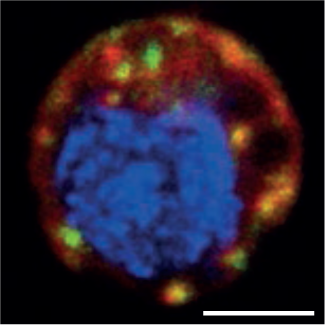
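A single rounded cell is seen with a large blue nucleus occupying most of its centre. A red rim outlines the cell edge and red puncta are scattered through the thin cytoplasm around the nucleus.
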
